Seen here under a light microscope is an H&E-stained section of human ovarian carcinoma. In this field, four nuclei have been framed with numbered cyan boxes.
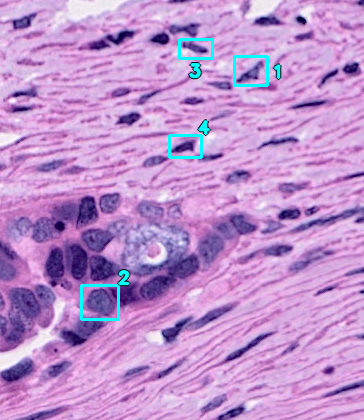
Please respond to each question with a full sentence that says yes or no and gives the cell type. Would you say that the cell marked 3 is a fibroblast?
Yes, correct, the cell with the number 3 is a fibroblast.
